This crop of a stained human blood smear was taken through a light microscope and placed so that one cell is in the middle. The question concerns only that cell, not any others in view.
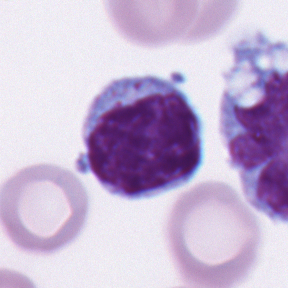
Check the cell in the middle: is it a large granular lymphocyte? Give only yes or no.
no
